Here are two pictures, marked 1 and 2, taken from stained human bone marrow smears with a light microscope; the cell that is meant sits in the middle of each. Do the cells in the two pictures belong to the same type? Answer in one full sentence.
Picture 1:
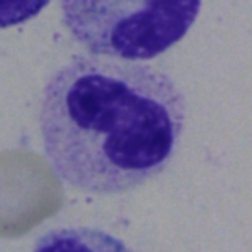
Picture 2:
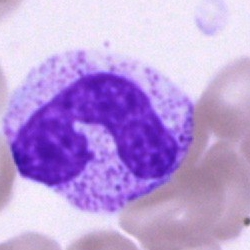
Yes, the two pictures both show band neutrophils.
